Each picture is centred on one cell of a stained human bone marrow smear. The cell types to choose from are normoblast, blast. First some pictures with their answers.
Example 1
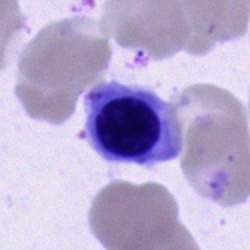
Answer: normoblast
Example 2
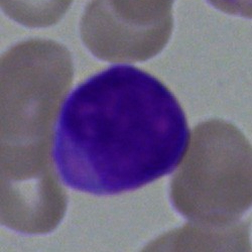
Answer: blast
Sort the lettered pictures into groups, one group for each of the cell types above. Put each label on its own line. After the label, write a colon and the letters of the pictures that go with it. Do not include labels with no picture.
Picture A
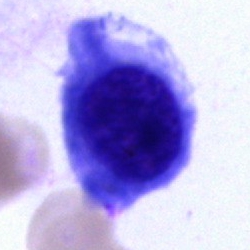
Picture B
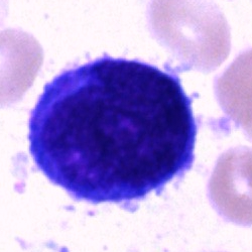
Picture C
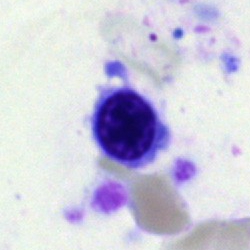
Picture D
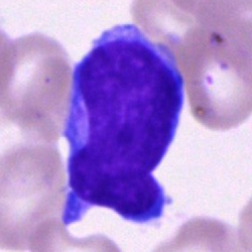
normoblast: A, C
blast: B, D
